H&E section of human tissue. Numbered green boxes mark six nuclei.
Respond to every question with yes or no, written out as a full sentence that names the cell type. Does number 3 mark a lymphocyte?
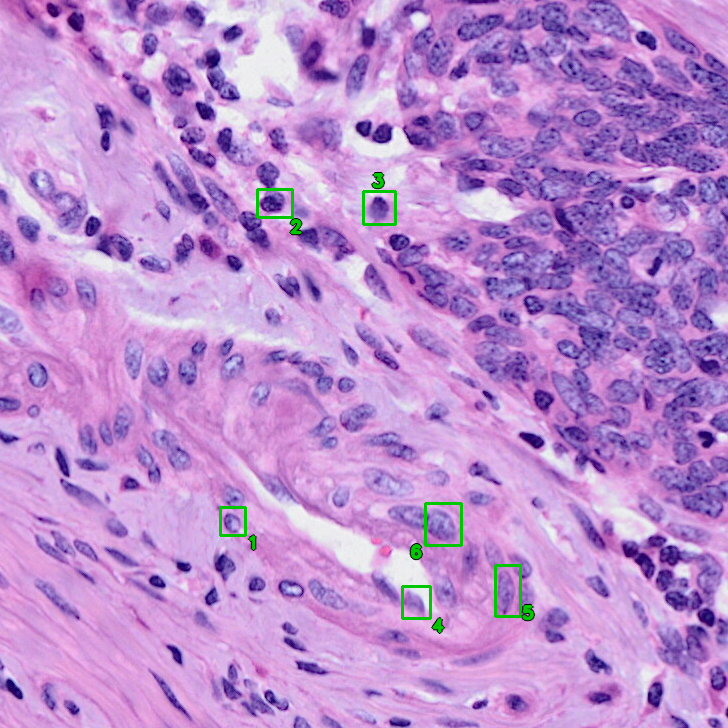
Yes, the nucleus numbered 3 belongs to a lymphocyte.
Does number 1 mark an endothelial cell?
No, cell 1 is not an endothelial cell; it is a smooth muscle cell.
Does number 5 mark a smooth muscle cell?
Yes, the cell that bears number 5 is a smooth muscle cell.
